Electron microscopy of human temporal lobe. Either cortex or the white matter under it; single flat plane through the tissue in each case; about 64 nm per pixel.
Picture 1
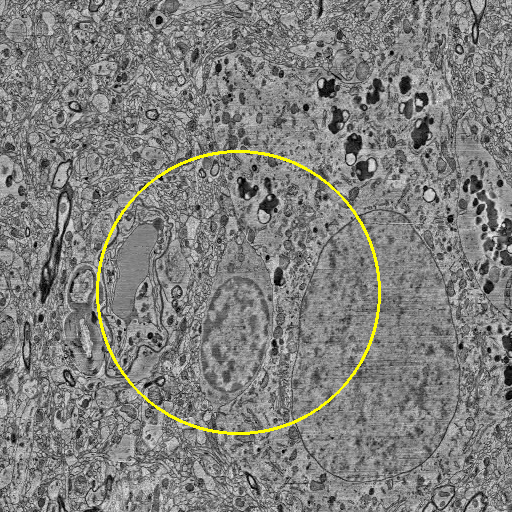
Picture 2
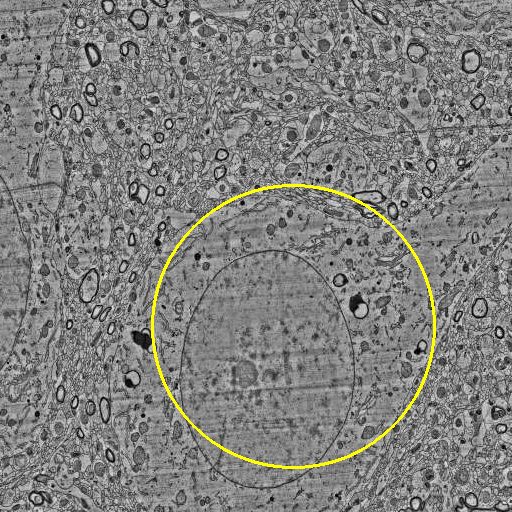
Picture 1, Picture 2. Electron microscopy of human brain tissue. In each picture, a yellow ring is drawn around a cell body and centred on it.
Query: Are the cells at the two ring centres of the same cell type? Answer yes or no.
no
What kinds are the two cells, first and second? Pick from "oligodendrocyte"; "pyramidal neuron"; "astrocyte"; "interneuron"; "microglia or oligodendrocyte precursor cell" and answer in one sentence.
The second picture holds a pyramidal neuron in its ring, and the first holds an oligodendrocyte.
